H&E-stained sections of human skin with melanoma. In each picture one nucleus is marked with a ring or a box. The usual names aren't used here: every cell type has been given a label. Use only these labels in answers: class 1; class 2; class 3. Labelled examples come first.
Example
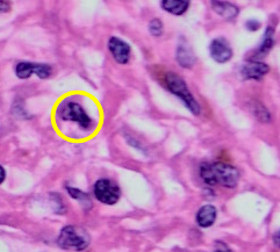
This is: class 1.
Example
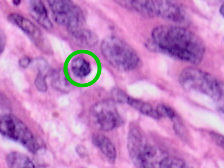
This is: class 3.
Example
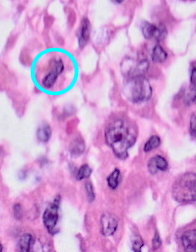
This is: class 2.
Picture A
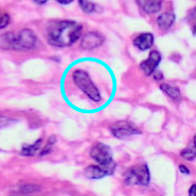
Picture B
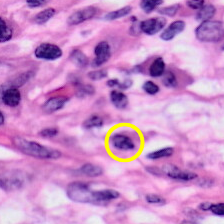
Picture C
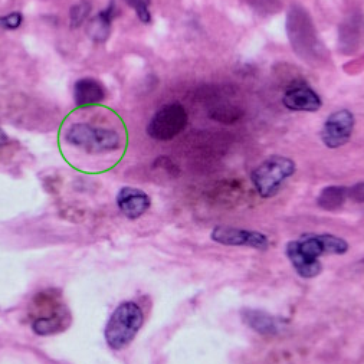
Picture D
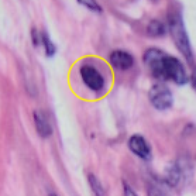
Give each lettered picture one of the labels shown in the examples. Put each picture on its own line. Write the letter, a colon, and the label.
A: class 2.
B: class 1.
C: class 2.
D: class 1.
